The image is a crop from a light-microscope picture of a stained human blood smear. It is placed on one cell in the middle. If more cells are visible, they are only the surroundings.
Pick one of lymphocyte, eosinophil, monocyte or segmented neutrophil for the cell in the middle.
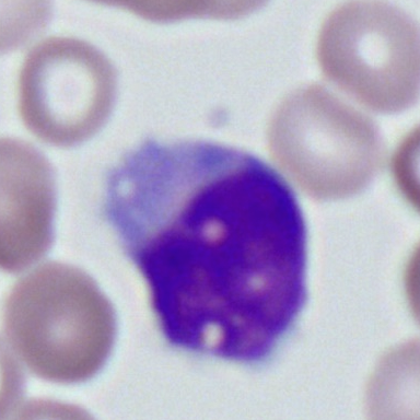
monocyte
